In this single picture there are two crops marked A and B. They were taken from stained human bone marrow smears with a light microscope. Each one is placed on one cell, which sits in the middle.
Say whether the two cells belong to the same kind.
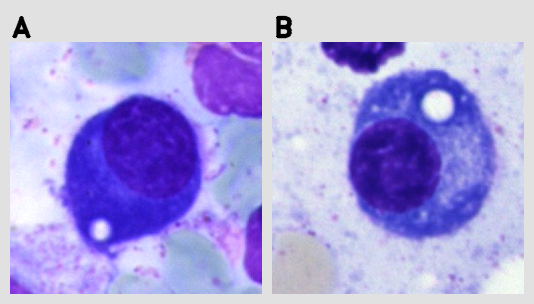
yes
